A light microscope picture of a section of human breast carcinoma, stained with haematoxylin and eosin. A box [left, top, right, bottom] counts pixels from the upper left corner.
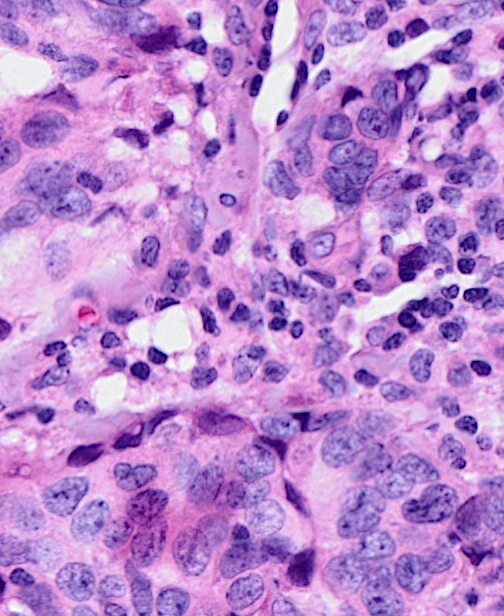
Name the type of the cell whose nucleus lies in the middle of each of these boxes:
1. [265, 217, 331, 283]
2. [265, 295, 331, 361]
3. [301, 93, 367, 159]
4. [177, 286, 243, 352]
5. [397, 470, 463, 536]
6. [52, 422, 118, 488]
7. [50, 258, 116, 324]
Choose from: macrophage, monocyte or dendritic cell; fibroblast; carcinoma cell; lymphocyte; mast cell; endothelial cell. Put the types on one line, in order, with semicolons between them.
lymphocyte; lymphocyte; carcinoma cell; lymphocyte; carcinoma cell; carcinoma cell; endothelial cell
